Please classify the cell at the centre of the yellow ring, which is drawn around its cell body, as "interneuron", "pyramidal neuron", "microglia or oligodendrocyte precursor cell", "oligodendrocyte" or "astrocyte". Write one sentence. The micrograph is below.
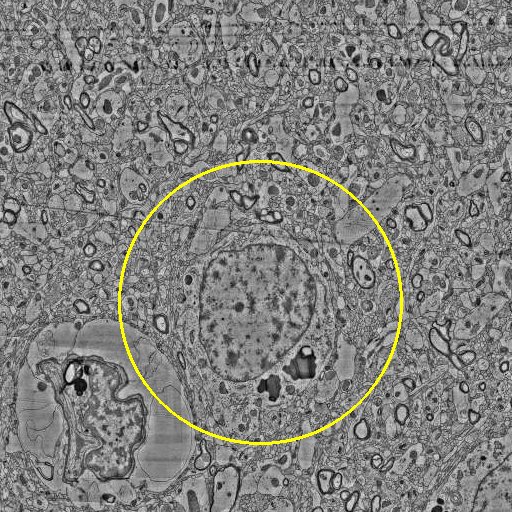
The cell at the ring's centre is classified as an interneuron.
